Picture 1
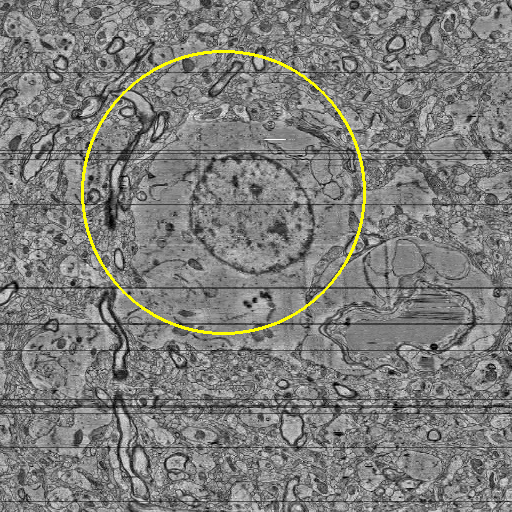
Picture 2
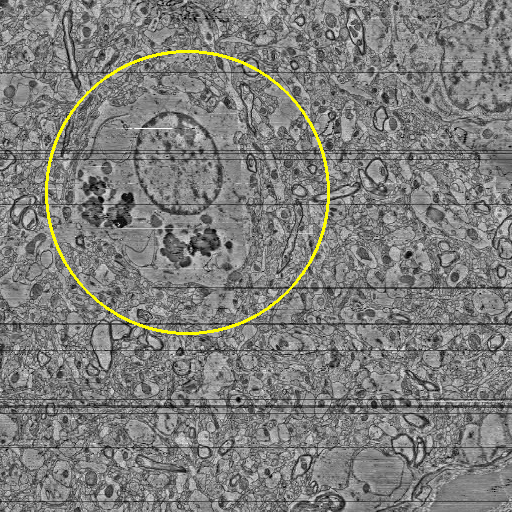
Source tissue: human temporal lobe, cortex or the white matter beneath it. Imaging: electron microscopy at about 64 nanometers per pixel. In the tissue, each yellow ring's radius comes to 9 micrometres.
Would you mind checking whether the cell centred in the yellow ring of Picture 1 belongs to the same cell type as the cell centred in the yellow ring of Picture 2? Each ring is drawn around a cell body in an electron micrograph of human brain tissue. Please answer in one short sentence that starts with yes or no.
Yes, both cells are of the same type.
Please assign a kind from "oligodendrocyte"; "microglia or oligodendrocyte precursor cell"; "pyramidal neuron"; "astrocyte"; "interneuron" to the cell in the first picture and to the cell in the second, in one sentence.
Each cell, in the first picture and the second, is an astrocyte.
